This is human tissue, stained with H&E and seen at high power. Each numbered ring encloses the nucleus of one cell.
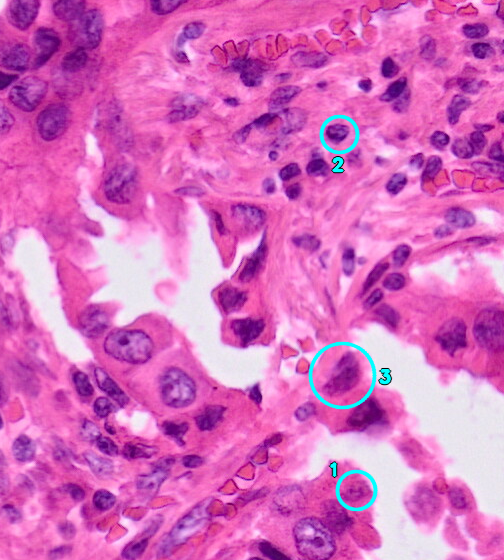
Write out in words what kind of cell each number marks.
Cell 1 is a carcinoma cell, cell 2 is a lymphocyte and cell 3 is a carcinoma cell.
